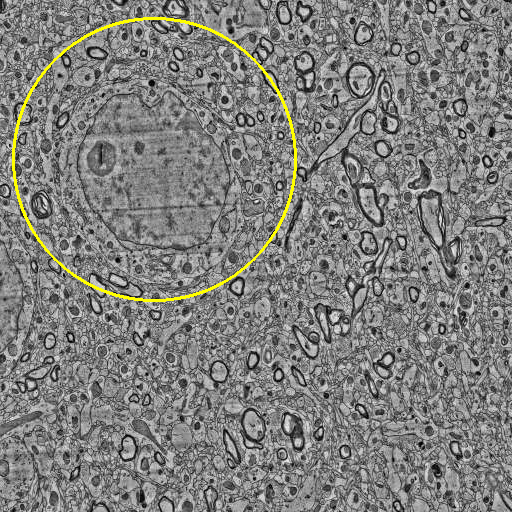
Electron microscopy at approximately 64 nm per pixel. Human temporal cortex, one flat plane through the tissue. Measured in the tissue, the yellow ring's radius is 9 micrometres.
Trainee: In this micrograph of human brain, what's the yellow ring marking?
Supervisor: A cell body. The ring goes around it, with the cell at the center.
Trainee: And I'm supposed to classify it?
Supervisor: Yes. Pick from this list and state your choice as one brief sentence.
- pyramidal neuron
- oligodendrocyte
The cell at the ring's center is a pyramidal neuron.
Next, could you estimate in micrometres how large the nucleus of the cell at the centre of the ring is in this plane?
The nucleus has a long axis of about 11 micrometres and a short axis of about 9 micrometres in this plane.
